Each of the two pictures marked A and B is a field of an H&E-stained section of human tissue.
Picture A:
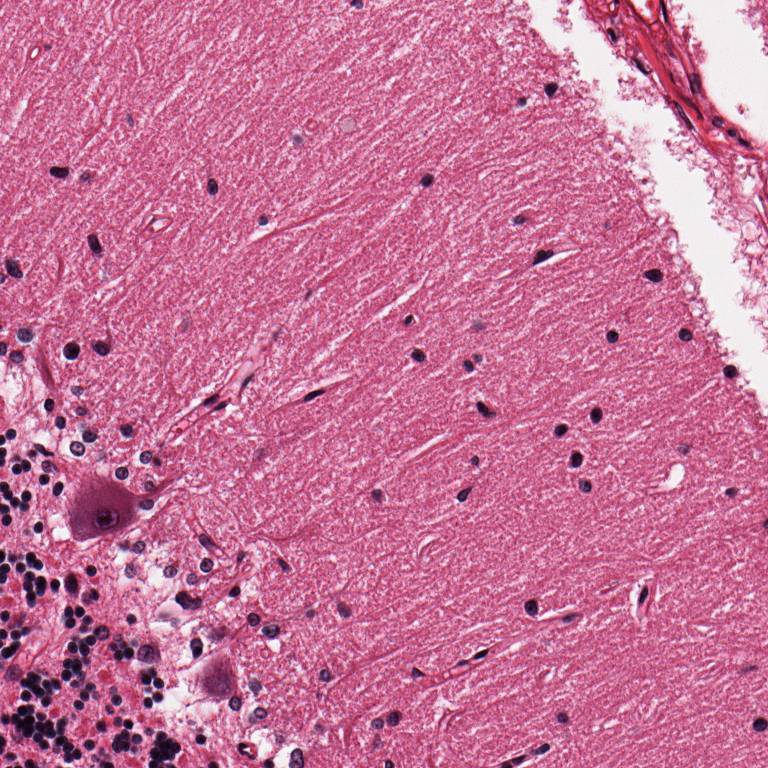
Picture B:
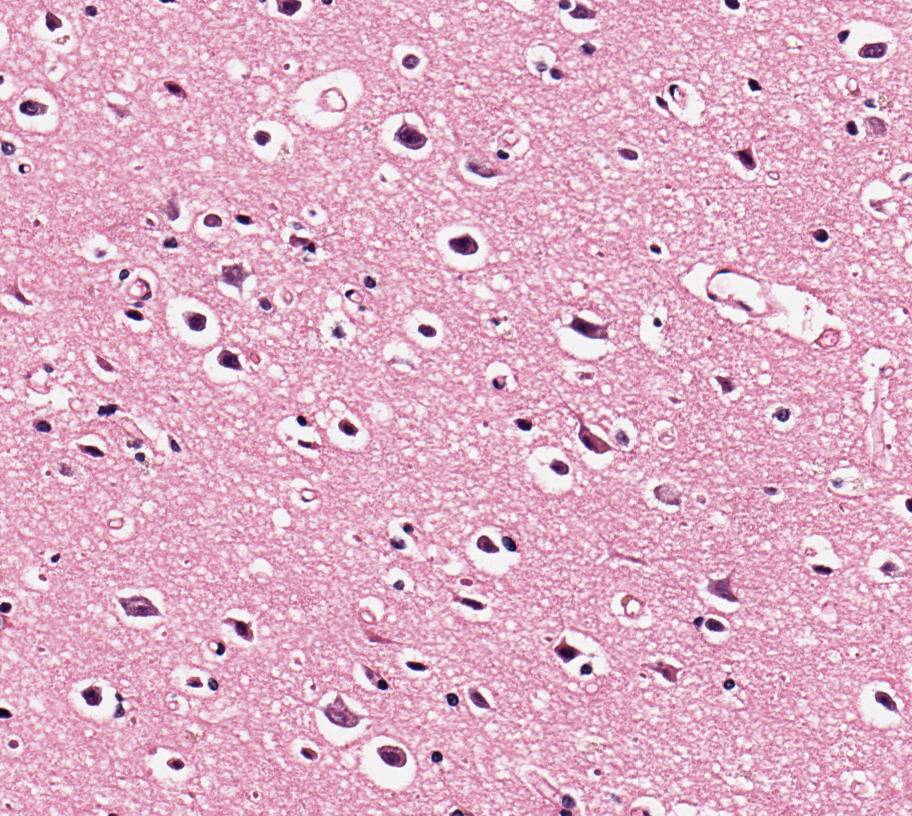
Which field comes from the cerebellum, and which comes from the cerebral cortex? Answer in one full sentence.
Picture A comes from the cerebellum; picture B comes from the cerebral cortex.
